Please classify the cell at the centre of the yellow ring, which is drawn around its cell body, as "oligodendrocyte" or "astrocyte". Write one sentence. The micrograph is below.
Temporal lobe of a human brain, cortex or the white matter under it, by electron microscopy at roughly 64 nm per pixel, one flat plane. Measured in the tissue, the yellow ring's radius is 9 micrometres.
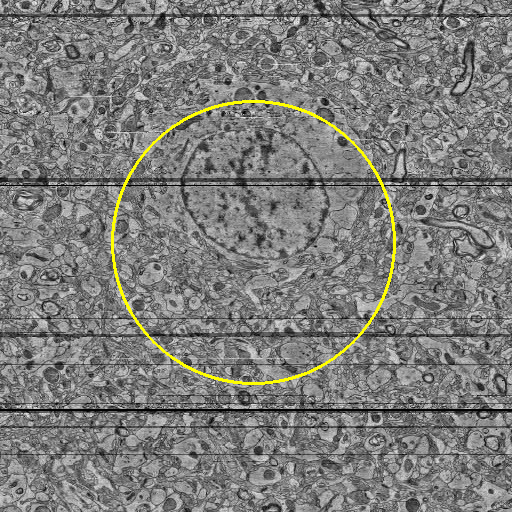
The cell at the ring's centre is classified as an astrocyte.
